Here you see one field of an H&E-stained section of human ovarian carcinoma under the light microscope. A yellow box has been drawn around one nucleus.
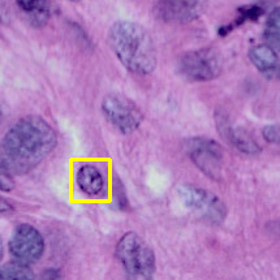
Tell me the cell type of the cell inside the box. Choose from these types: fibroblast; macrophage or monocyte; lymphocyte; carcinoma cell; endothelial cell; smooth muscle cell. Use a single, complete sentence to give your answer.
Within this tissue, the cell inside the box is a macrophage or monocyte.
